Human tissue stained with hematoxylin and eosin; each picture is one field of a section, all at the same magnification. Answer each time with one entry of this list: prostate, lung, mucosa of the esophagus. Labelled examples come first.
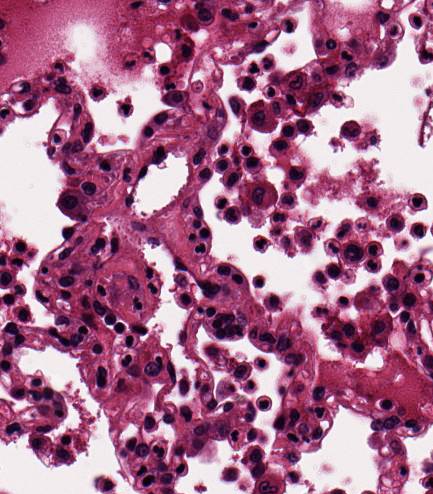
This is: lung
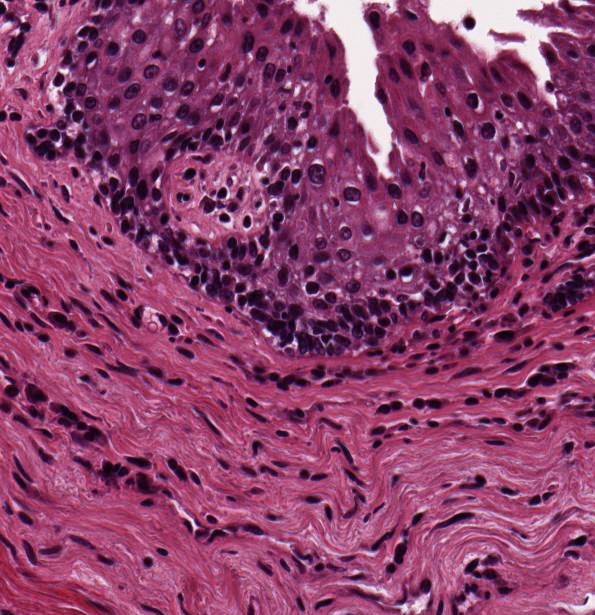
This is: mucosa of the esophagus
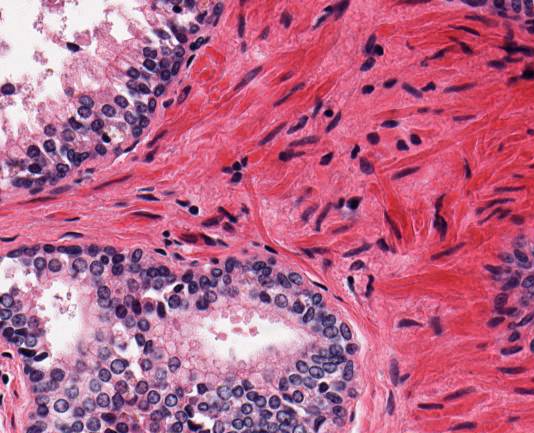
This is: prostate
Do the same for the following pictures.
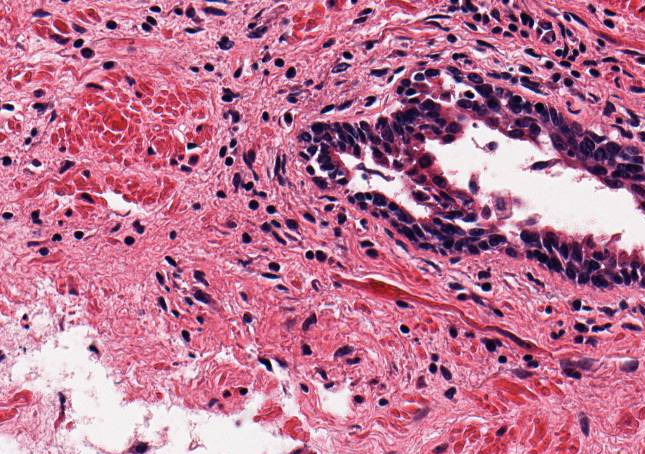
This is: prostate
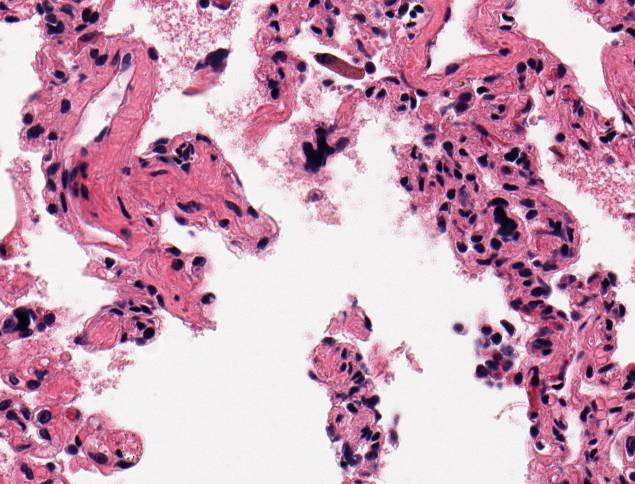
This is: lung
